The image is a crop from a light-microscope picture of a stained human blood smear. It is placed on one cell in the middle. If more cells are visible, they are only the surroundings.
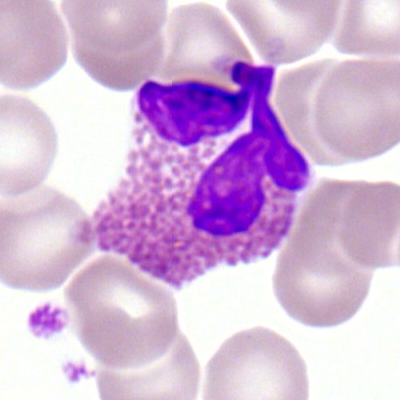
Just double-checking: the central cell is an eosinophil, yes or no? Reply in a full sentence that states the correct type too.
Yes, the cell at the very centre of the crop is an eosinophil.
